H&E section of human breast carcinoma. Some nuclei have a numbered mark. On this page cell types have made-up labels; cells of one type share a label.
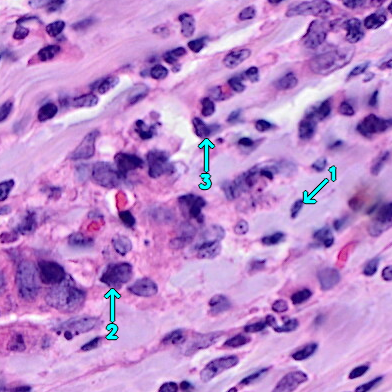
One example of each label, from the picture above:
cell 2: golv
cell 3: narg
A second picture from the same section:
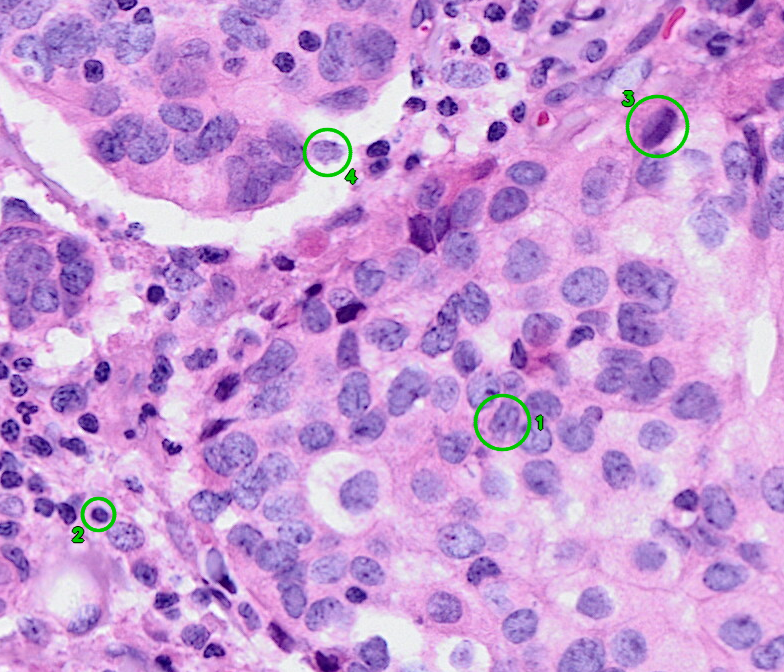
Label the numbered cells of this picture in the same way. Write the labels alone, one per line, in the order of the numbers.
golv
narg
golv
golv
